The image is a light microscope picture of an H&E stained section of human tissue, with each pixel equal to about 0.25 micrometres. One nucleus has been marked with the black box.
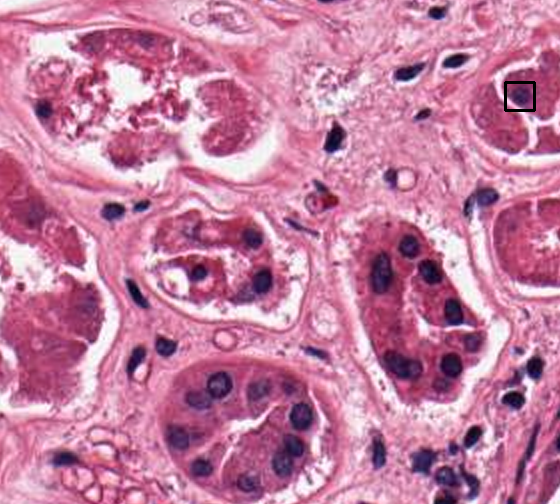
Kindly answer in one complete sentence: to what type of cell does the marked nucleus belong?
The nucleus that has been marked belongs to a proximal tubule cell.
